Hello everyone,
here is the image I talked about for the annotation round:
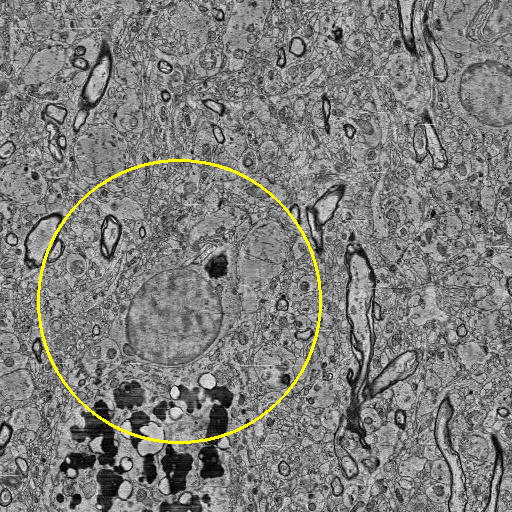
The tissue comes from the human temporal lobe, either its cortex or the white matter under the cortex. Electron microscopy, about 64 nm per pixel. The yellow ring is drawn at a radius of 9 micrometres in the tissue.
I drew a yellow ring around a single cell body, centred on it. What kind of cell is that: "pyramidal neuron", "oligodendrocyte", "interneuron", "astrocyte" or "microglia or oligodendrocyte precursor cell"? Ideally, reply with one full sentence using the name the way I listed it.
The cell your yellow ring is centred on is an oligodendrocyte, going by your list.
